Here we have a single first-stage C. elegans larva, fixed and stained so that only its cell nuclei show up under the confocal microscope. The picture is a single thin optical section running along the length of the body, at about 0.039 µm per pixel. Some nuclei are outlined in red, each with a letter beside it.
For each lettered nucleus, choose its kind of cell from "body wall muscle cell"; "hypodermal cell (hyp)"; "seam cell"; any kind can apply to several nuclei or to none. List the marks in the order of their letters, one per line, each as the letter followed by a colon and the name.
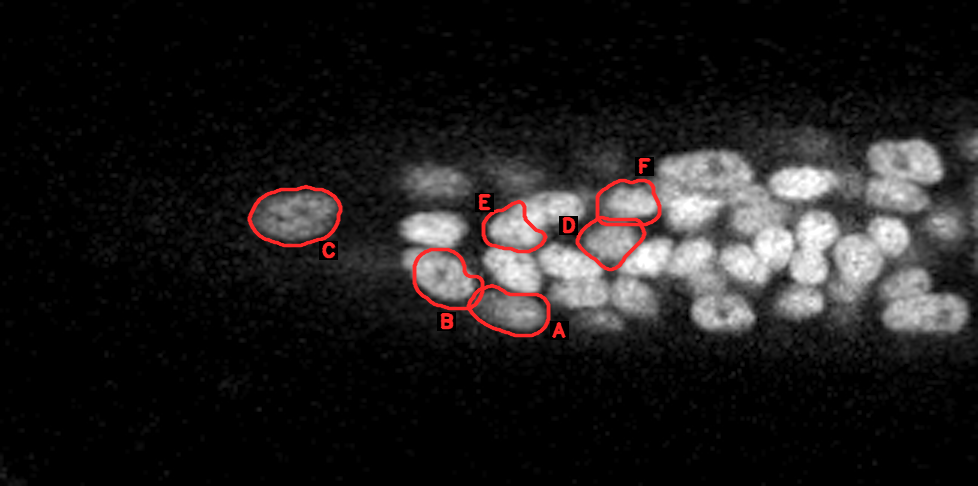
A: body wall muscle cell
B: body wall muscle cell
C: hypodermal cell (hyp)
D: seam cell
E: hypodermal cell (hyp)
F: hypodermal cell (hyp)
